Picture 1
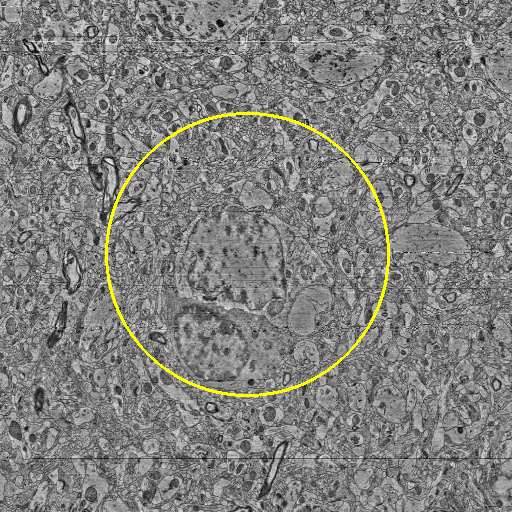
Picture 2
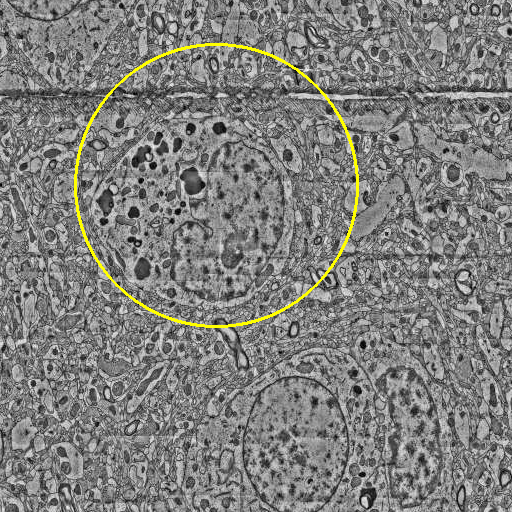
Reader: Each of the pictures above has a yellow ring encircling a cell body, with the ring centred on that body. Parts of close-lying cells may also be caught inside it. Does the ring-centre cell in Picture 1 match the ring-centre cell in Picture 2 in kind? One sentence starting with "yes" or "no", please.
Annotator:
Yes, Picture 1 and Picture 2 show ring-centre cells of a single kind.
